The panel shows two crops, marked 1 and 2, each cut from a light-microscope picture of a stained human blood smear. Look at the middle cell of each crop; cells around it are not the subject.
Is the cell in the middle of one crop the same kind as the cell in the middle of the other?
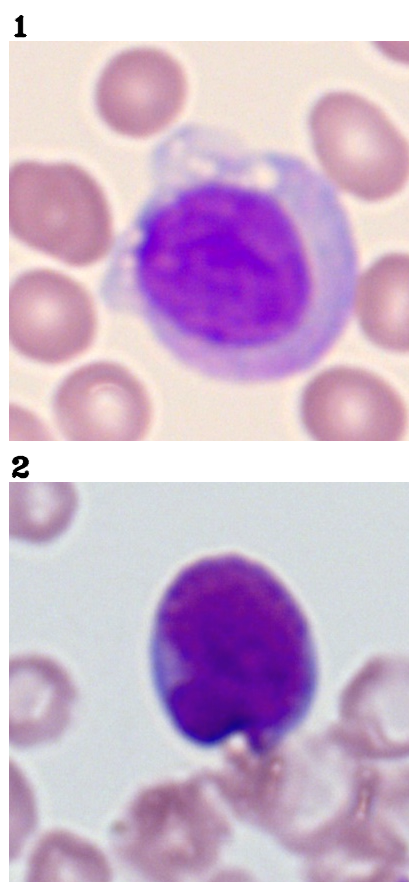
yes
